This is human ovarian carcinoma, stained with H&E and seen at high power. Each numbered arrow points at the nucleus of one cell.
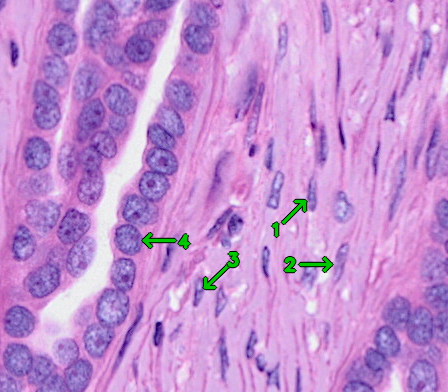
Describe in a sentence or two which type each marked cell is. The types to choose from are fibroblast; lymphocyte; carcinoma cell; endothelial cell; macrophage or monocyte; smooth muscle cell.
Cell 1 is a fibroblast, cell 2 is a fibroblast, cell 3 is a fibroblast and cell 4 is a carcinoma cell.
